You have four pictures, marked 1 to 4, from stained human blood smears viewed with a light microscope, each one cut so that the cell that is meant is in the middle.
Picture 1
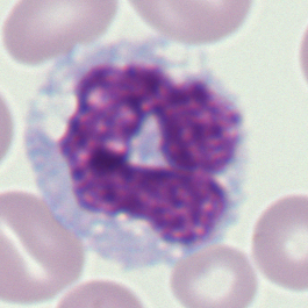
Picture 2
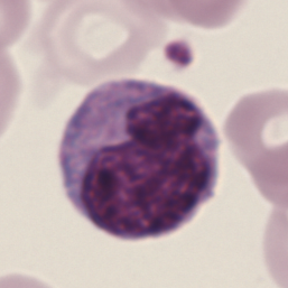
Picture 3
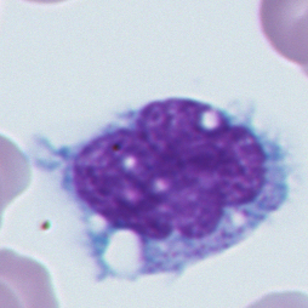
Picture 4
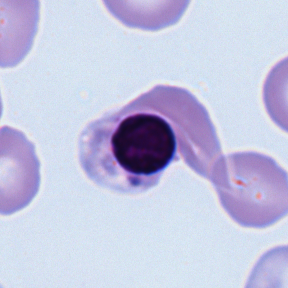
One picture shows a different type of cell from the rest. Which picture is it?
4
